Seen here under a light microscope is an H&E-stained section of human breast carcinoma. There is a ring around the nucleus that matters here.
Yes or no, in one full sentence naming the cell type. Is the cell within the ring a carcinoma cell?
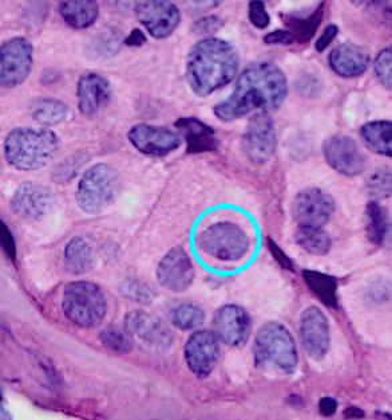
Yes, it is a carcinoma cell that the cell within the ring represents in this section.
